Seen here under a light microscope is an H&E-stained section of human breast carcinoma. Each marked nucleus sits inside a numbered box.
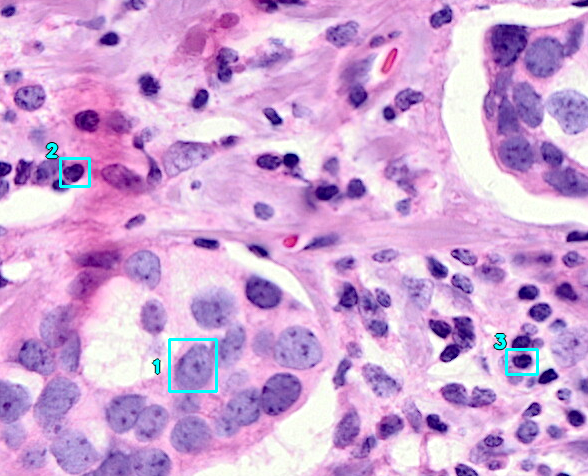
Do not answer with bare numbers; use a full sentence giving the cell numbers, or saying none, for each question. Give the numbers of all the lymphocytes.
As for the cells numbered 2 and 3, they are lymphocytes.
